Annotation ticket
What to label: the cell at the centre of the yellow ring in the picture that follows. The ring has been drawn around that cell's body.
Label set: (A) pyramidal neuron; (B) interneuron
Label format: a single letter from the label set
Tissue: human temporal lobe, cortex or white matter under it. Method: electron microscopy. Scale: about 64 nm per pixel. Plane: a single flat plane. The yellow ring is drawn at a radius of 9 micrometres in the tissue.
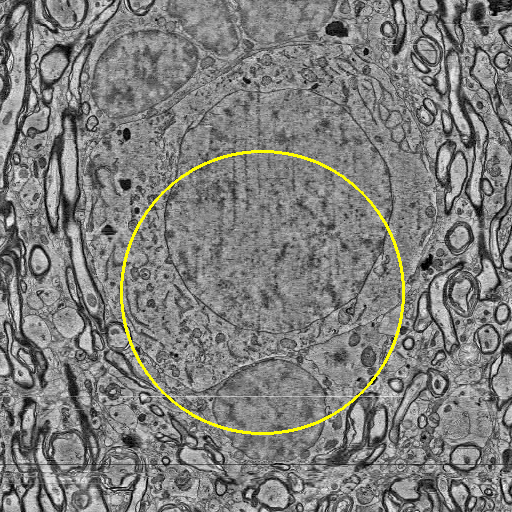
B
